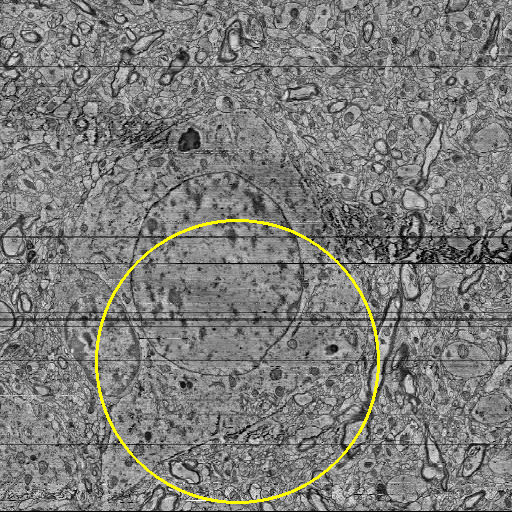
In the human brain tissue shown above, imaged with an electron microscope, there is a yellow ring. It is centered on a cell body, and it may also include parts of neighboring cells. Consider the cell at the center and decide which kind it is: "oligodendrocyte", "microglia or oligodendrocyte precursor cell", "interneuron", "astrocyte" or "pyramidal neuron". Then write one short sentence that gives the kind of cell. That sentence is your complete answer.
This centered cell body is that of a pyramidal neuron.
